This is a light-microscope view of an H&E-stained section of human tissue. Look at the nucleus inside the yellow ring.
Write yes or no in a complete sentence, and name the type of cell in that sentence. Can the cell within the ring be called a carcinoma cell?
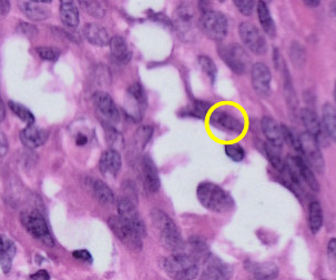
Yes, it holds that the cell within the ring is a carcinoma cell.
